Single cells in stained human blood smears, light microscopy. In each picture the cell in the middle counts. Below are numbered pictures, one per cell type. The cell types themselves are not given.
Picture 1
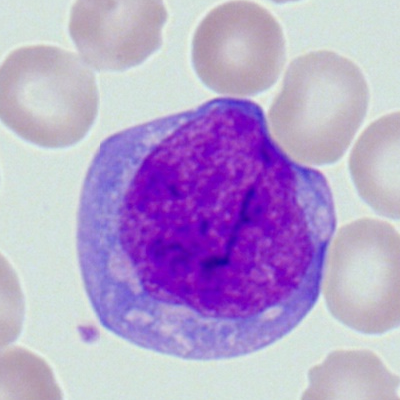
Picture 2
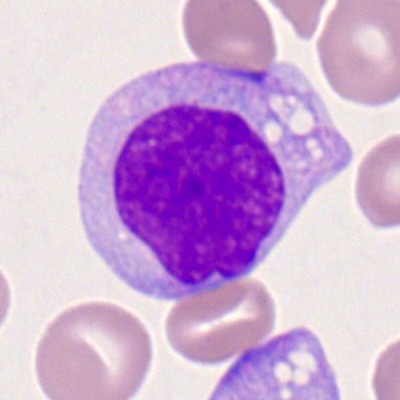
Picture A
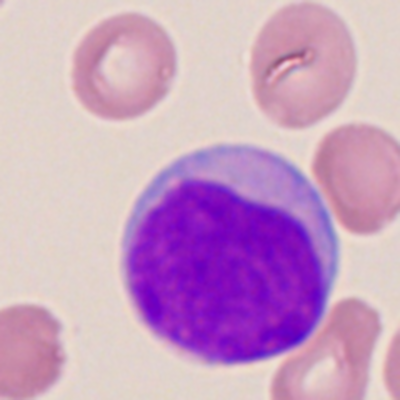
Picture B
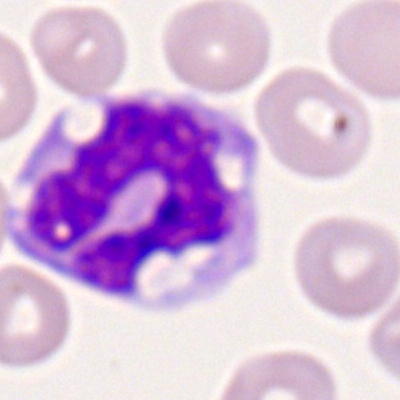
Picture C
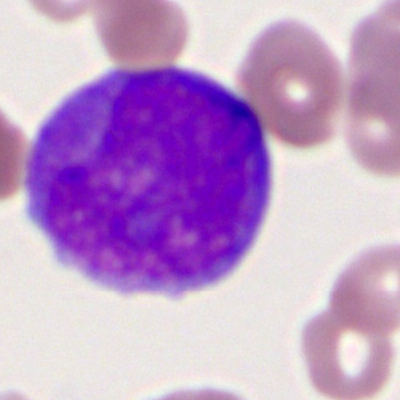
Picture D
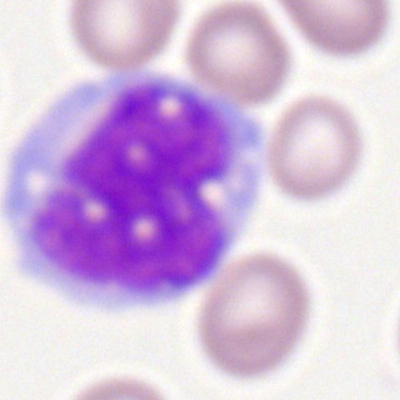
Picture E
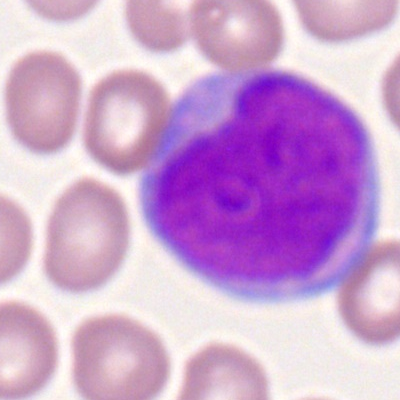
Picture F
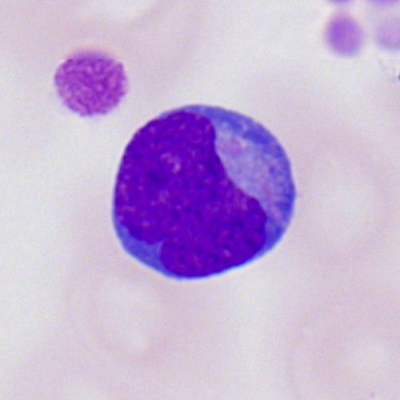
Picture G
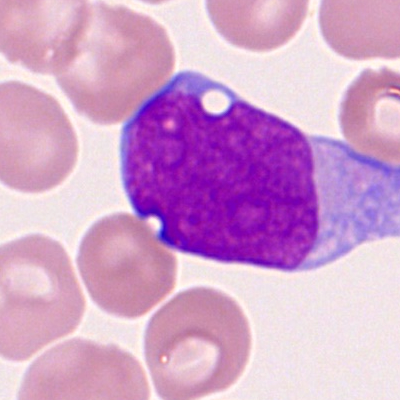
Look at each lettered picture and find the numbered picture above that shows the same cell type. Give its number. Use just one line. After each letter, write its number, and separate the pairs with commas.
A 1, B 2, C 1, D 2, E 1, F 1, G 1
